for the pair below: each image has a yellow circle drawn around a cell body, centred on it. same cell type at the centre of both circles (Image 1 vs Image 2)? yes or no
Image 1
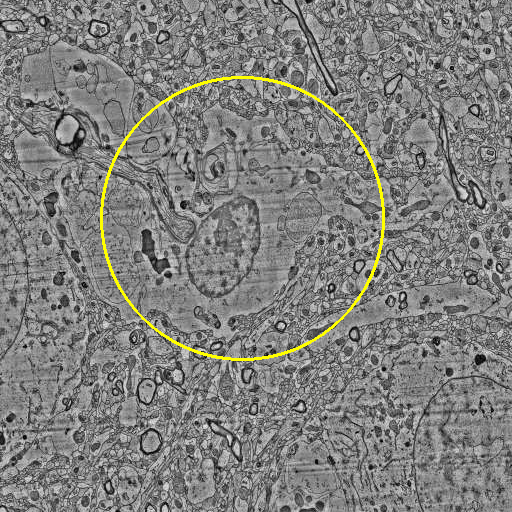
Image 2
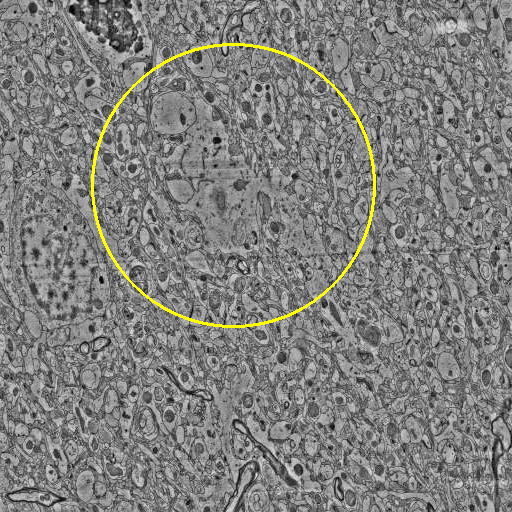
yes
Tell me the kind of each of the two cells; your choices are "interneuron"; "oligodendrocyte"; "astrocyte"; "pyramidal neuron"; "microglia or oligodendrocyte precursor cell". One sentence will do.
Each cell, in the first picture and the second, is an astrocyte.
